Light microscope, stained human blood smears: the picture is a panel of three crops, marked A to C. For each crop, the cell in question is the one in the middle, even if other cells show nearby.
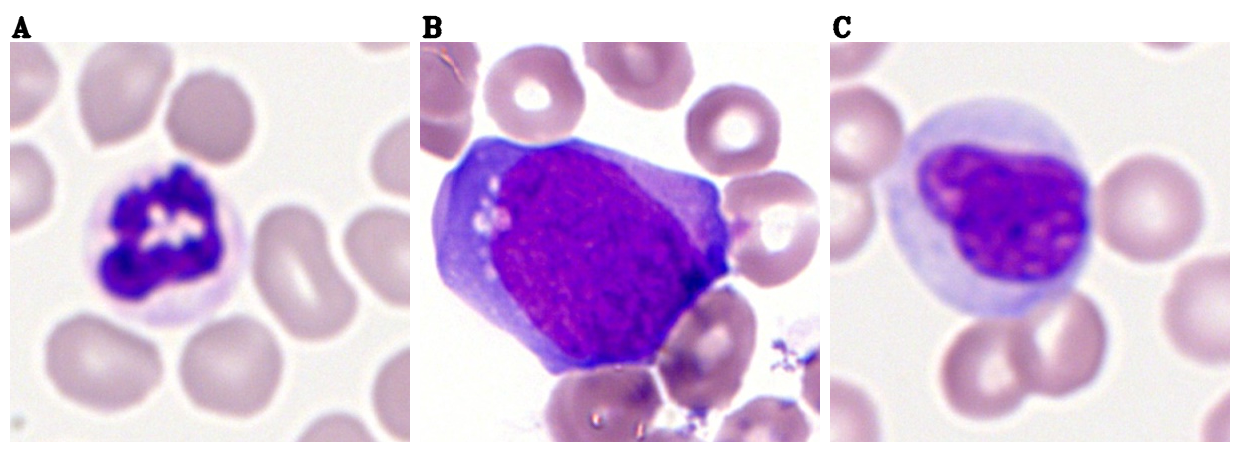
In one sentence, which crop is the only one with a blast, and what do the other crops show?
Crop B goes down as a blast, while crop A is a neutrophil and crop C is a monocyte.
